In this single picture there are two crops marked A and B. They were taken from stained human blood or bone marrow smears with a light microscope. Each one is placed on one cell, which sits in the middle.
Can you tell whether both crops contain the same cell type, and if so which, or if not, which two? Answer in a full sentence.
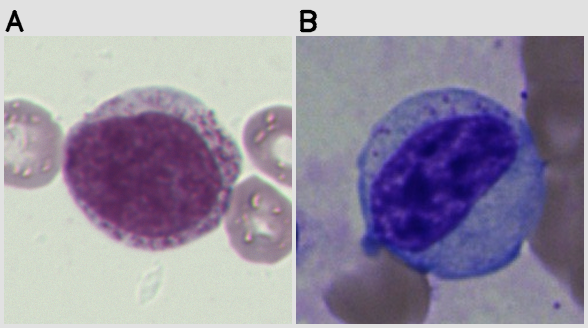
Yes, the crops both have myelocytes in the middle.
